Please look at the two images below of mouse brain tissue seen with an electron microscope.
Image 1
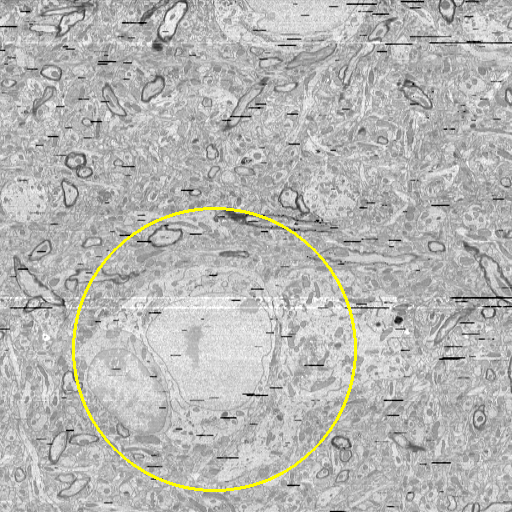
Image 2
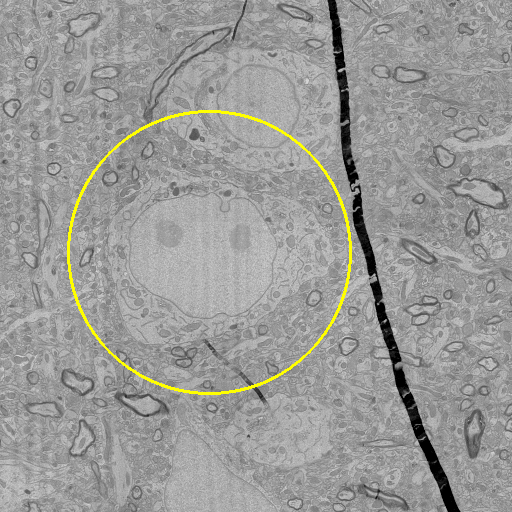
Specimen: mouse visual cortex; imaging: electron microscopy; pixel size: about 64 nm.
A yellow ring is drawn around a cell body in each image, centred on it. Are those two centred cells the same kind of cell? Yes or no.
yes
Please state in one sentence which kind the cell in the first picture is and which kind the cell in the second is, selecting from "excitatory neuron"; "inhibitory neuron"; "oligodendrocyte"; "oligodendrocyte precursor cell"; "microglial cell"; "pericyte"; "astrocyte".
Both cells are the same kind, each one being an excitatory neuron.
